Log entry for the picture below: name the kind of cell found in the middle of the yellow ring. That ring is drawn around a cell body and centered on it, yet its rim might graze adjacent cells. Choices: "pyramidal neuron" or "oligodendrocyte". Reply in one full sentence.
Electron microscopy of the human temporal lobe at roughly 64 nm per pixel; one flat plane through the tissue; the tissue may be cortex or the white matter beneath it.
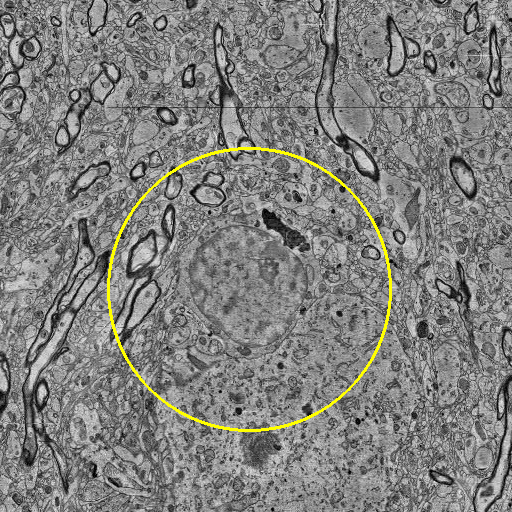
The cell in the middle of the yellow ring in this picture is an oligodendrocyte.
